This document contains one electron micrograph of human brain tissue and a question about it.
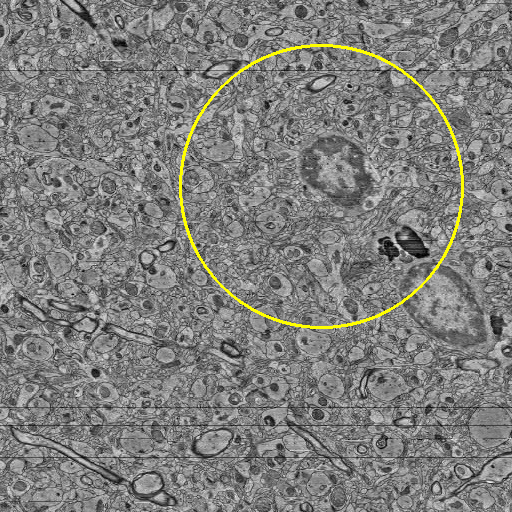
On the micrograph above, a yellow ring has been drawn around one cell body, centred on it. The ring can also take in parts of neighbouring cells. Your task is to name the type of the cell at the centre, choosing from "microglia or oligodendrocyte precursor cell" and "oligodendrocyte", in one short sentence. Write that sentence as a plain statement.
Here the ring is centred on an oligodendrocyte.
